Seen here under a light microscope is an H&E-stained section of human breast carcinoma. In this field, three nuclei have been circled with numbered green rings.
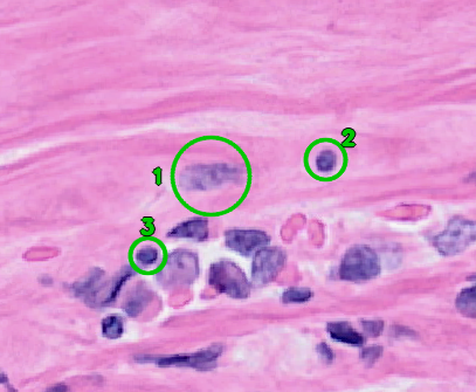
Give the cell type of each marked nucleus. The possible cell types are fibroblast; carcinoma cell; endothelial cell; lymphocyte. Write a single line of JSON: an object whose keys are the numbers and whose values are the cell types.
{"1": "fibroblast", "2": "lymphocyte", "3": "lymphocyte"}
